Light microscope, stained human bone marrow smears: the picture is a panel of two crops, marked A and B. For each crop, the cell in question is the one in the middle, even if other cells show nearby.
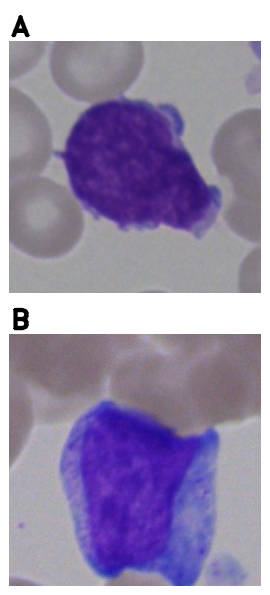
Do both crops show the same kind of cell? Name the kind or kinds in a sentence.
Yes, blasts are seen in both crops.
